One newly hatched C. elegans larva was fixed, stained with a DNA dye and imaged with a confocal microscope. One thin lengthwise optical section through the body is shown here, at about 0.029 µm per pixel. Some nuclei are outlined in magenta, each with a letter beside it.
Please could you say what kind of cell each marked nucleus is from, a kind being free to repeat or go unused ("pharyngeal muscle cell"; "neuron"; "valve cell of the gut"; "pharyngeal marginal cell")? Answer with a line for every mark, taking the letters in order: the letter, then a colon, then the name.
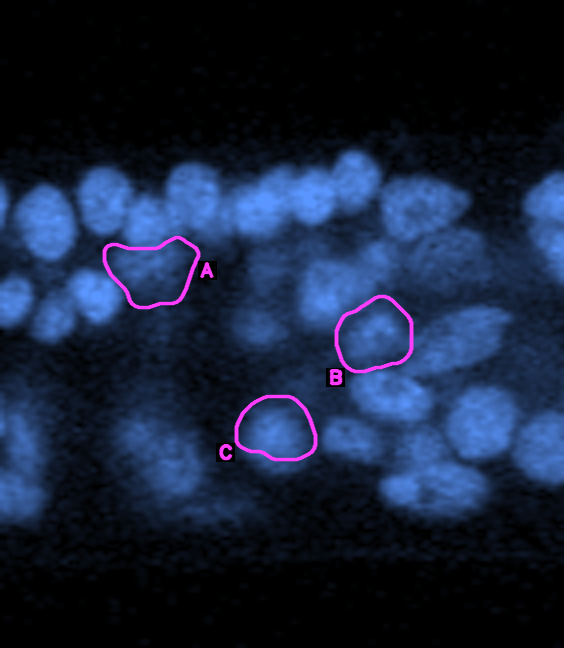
A: pharyngeal marginal cell
B: pharyngeal muscle cell
C: neuron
